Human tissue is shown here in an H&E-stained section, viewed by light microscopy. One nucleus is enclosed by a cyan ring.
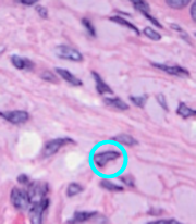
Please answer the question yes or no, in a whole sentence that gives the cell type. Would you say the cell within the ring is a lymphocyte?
No, the cell within the ring is scored as a fibroblast and not as a lymphocyte.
